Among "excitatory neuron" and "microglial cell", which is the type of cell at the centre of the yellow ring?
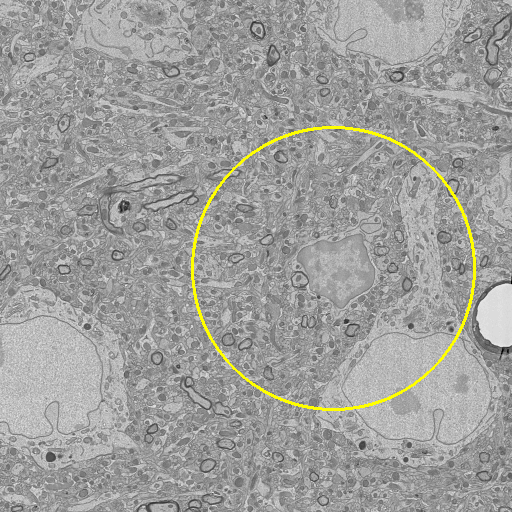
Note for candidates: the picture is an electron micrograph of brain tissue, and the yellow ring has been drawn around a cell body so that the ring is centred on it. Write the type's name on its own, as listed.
microglial cell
